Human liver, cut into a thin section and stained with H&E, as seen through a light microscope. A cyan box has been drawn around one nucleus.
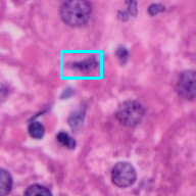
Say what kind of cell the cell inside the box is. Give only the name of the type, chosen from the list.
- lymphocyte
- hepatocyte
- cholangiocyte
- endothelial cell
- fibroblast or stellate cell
endothelial cell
